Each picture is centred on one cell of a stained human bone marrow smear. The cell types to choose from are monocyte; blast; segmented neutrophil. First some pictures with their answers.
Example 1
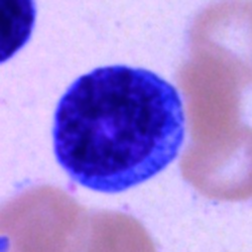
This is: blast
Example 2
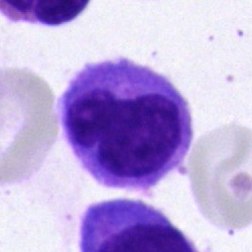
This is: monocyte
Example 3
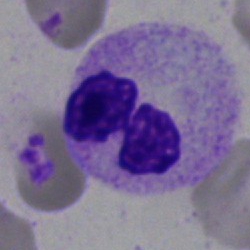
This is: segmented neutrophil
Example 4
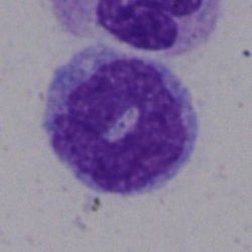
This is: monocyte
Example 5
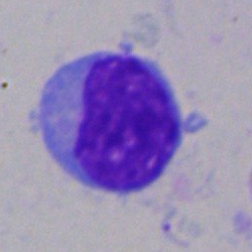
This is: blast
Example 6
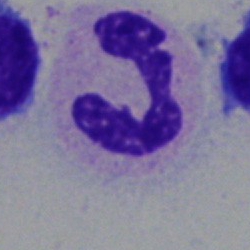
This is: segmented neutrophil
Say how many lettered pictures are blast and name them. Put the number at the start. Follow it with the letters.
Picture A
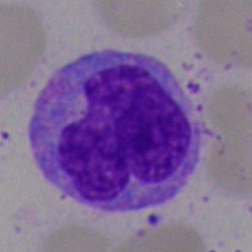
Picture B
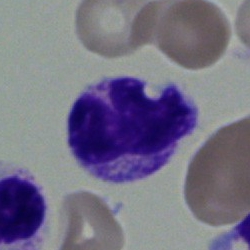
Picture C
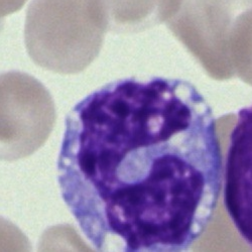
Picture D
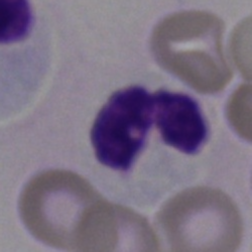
0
